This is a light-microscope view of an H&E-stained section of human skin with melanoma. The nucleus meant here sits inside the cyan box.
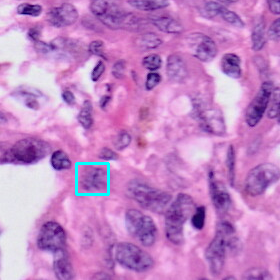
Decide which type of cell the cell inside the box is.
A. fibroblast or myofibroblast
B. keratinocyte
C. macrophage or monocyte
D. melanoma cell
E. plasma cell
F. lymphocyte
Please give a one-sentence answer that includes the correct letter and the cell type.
That the cell inside the box is a melanoma cell makes option D the correct choice.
